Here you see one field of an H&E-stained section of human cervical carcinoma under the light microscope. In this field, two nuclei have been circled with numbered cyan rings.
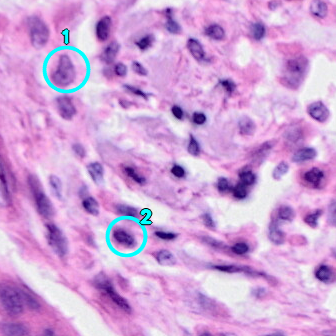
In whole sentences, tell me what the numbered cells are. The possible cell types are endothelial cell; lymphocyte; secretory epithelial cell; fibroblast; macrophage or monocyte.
Cell 1 is a macrophage or monocyte. Cell 2 is a lymphocyte.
